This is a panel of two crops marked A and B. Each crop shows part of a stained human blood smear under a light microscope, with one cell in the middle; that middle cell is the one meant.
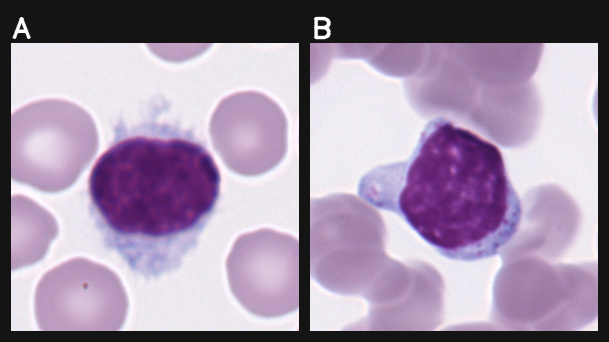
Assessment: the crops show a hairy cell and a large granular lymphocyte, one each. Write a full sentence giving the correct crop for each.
Crop A is to be read as a hairy cell and crop B as a large granular lymphocyte.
